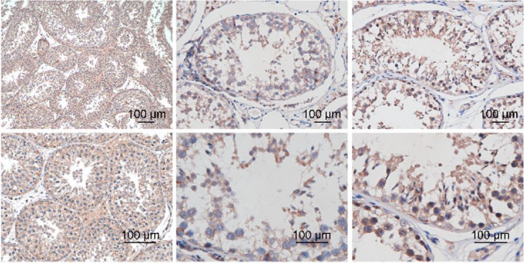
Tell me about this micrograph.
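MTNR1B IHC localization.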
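These are sections of tubules packed with spermatogenic cells, with round nuclei layered from the tubule wall inward toward a central lumen. Blue nuclei sit in the thin spaces between neighbouring tubules. The brownish-yellow deposit lies over the cells inside the tubules.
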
